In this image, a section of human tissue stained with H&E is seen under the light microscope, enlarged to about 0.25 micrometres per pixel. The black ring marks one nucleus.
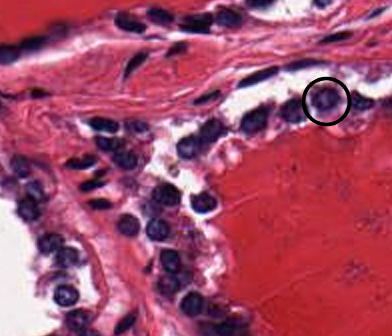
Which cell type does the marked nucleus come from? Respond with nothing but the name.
thyroid follicular cell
